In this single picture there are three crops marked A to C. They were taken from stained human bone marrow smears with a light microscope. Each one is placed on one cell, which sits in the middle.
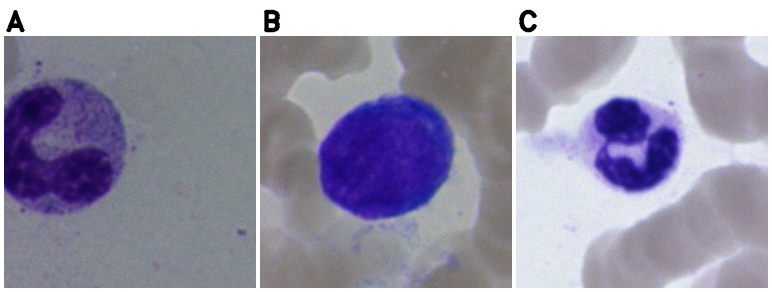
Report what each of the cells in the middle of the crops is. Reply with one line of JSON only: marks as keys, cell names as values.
{"A": "segmented neutrophil", "B": "blast", "C": "segmented neutrophil"}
